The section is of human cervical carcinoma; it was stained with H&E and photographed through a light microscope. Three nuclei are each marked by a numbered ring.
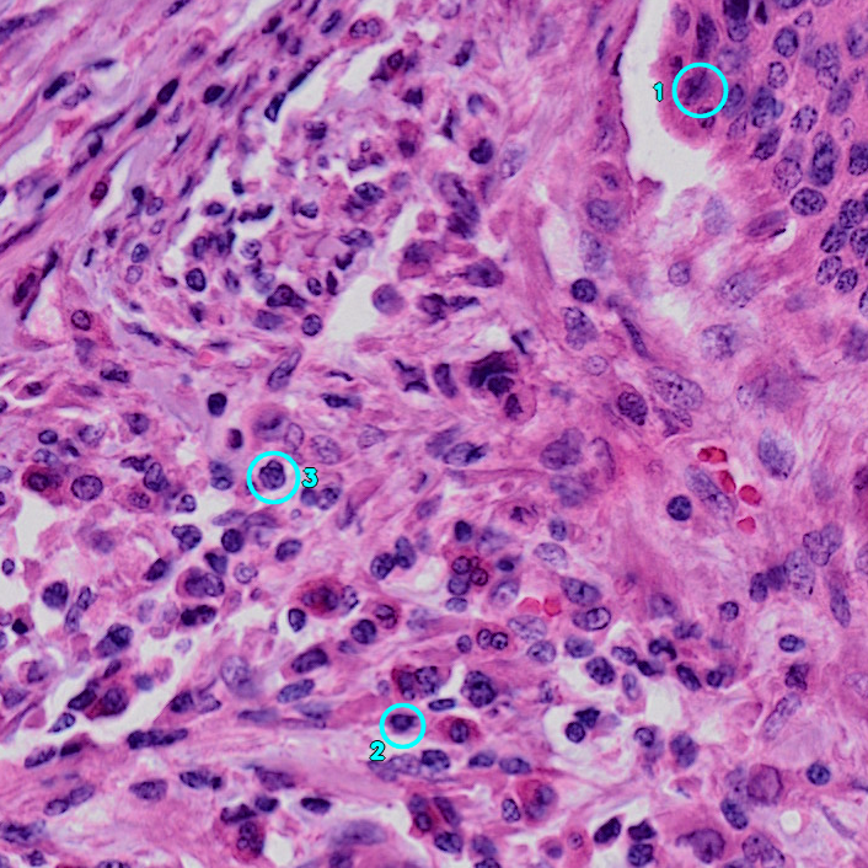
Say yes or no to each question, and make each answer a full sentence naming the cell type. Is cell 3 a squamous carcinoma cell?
No, the marker 3 sits on a lymphocyte, not on a squamous carcinoma cell.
